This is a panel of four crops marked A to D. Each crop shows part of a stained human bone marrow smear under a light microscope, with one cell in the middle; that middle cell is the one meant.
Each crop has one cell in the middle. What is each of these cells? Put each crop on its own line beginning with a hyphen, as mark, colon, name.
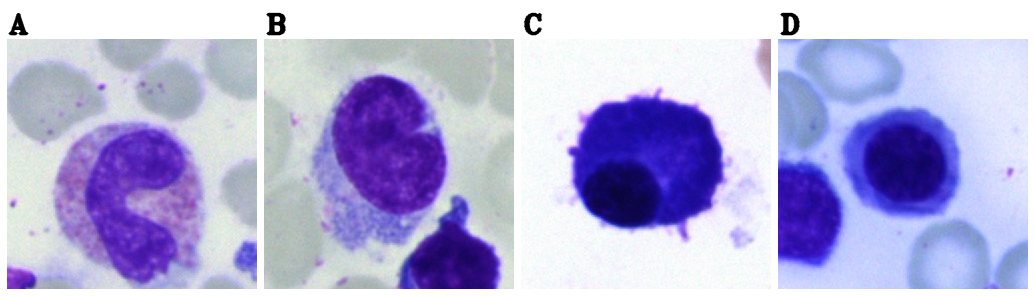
- A: eosinophil
- B: hairy cell
- C: plasma cell
- D: erythroblast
